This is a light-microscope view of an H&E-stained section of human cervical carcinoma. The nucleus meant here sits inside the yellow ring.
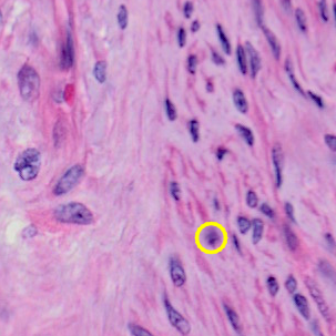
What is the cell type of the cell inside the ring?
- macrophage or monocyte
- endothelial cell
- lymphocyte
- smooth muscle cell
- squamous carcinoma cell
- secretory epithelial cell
smooth muscle cell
